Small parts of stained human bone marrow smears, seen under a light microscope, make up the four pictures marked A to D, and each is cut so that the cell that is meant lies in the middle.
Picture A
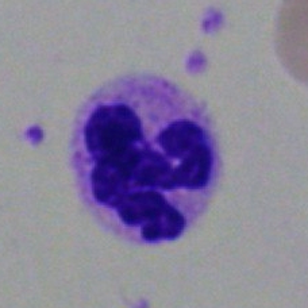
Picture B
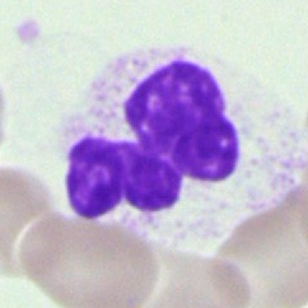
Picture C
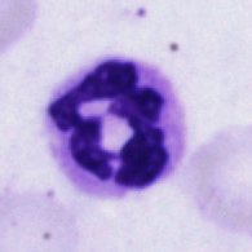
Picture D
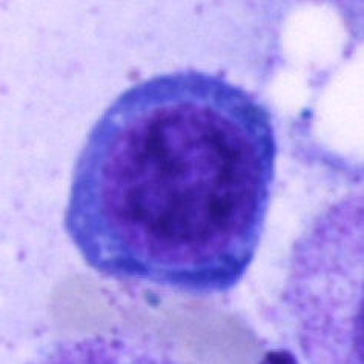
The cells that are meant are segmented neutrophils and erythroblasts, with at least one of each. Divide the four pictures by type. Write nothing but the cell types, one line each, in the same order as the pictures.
segmented neutrophil
segmented neutrophil
segmented neutrophil
erythroblast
